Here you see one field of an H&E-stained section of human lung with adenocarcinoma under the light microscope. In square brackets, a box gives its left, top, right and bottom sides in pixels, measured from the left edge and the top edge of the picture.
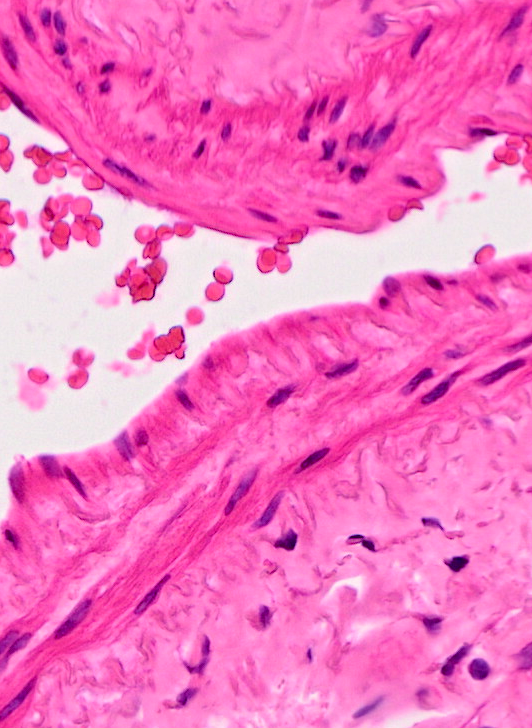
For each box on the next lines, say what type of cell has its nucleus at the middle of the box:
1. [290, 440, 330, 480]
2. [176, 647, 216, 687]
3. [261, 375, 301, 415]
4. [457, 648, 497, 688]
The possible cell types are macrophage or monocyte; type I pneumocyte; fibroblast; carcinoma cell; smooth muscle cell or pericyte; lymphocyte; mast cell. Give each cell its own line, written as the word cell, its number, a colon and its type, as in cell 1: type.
cell 1: smooth muscle cell or pericyte
cell 2: fibroblast
cell 3: smooth muscle cell or pericyte
cell 4: lymphocyte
